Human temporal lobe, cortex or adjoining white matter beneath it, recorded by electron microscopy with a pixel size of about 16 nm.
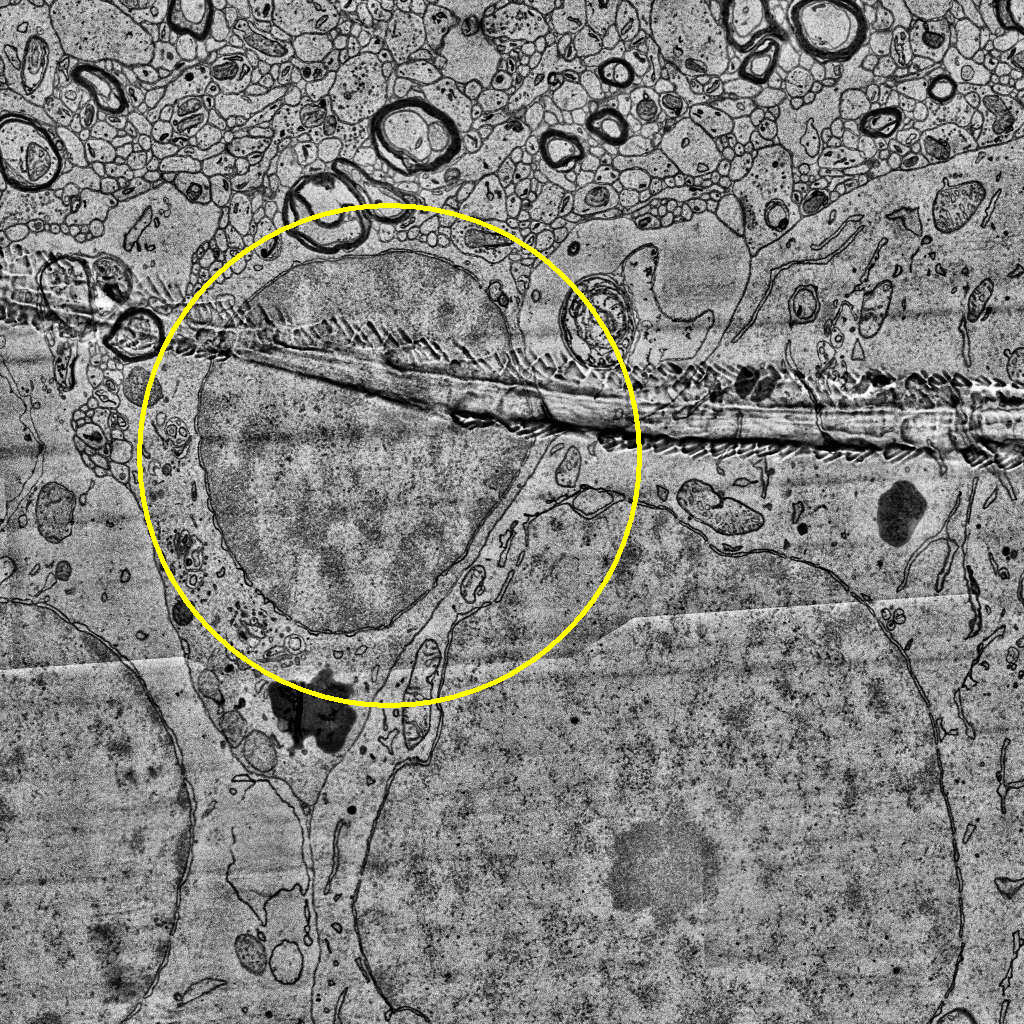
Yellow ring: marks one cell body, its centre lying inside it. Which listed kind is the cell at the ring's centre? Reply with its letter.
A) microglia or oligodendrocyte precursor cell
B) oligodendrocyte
B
